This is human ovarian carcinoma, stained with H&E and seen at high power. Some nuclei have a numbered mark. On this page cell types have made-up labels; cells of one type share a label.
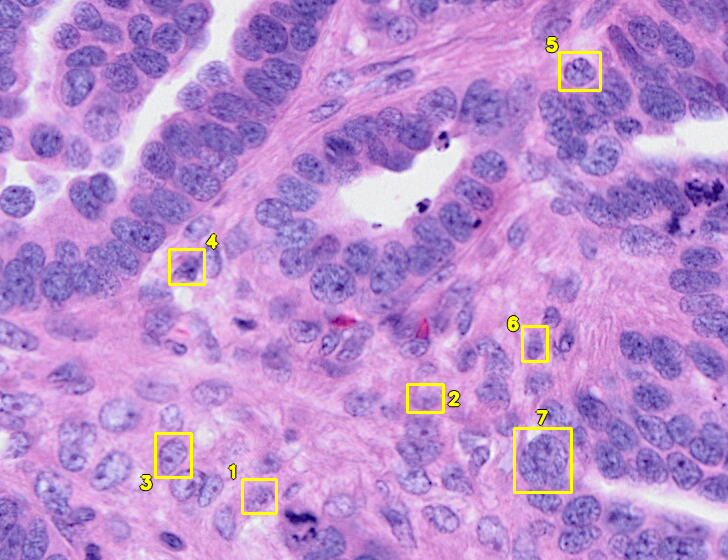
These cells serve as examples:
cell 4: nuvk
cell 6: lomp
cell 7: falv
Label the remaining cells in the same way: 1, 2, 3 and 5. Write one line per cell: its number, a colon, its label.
1: lomp
2: lomp
3: lomp
5: nuvk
